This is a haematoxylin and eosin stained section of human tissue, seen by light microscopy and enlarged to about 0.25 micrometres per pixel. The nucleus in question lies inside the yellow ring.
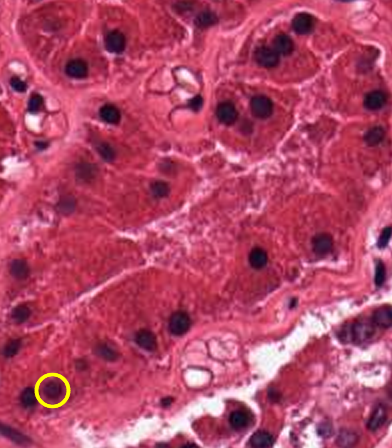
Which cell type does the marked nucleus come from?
proximal tubule cell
